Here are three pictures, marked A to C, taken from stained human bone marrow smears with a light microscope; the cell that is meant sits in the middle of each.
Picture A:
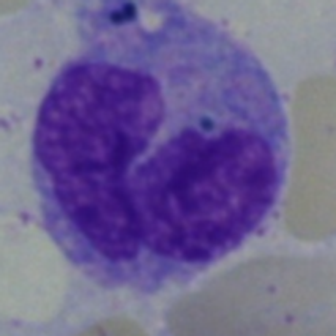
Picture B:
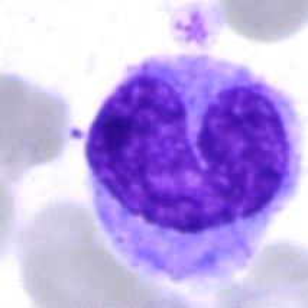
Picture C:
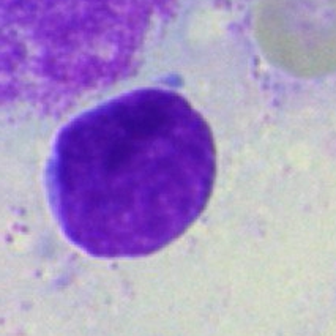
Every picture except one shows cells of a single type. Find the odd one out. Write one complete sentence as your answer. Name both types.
The others show monocytes, but picture C shows a lymphocyte.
